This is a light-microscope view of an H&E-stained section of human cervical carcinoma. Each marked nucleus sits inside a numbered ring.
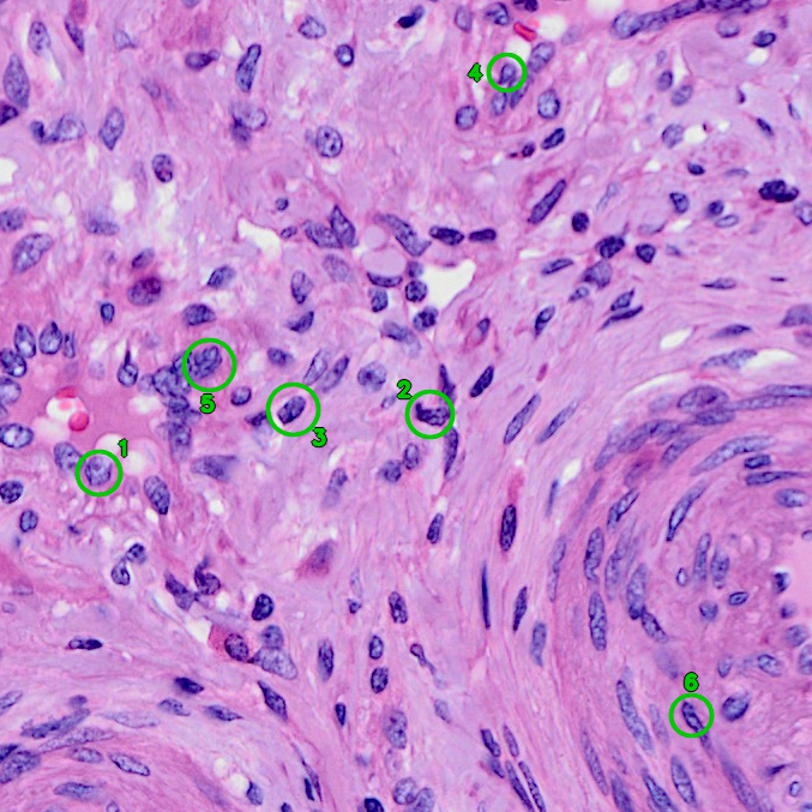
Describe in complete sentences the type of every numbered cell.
Cells 1, 4 and 5 are endothelial cells. Cells 2 and 3 are lymphocytes. Cell 6 is a smooth muscle cell.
